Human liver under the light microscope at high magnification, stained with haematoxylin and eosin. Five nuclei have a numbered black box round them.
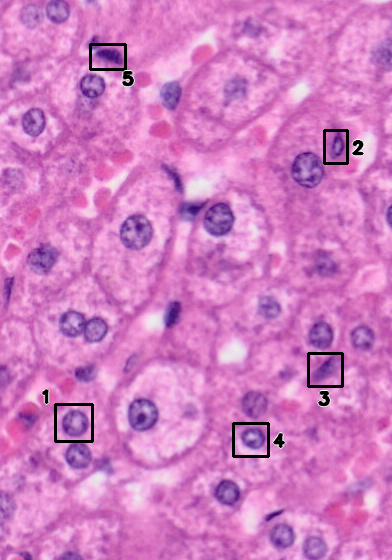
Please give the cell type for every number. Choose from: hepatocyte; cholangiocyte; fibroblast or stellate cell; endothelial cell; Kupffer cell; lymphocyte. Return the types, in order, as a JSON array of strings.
["hepatocyte", "Kupffer cell", "fibroblast or stellate cell", "hepatocyte", "fibroblast or stellate cell"]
